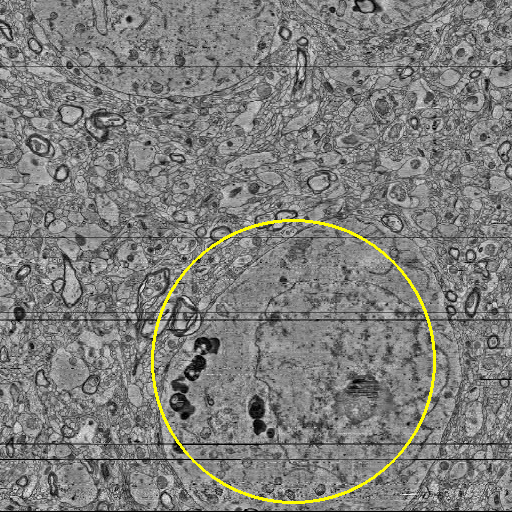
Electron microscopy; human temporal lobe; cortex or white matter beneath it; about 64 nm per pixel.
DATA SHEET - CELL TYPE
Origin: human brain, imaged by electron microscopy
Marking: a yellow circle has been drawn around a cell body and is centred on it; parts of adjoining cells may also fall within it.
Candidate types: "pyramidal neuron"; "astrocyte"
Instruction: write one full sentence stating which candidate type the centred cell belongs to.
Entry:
The cell body at the centre of the yellow ring in this micrograph belongs to a pyramidal neuron.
